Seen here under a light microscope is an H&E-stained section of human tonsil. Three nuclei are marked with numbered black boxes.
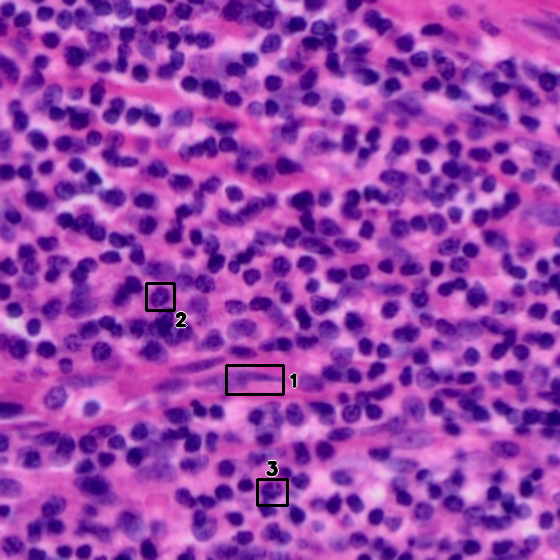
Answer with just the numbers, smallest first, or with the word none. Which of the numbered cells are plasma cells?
2, 3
